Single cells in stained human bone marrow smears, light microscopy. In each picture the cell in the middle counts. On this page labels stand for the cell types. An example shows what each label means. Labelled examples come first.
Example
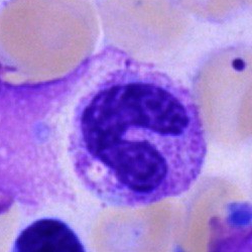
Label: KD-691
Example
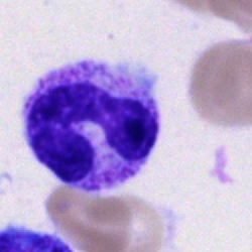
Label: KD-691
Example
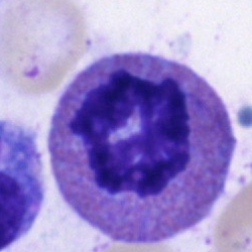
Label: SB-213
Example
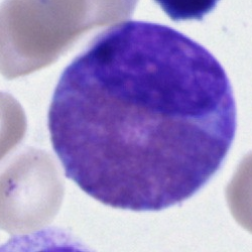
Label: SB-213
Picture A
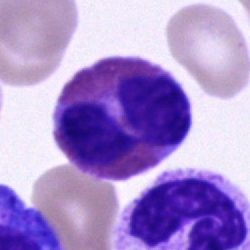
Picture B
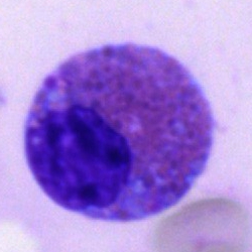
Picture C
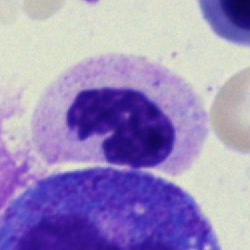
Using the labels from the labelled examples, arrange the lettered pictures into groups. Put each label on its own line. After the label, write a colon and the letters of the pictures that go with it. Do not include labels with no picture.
KD-691: C
SB-213: A, B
